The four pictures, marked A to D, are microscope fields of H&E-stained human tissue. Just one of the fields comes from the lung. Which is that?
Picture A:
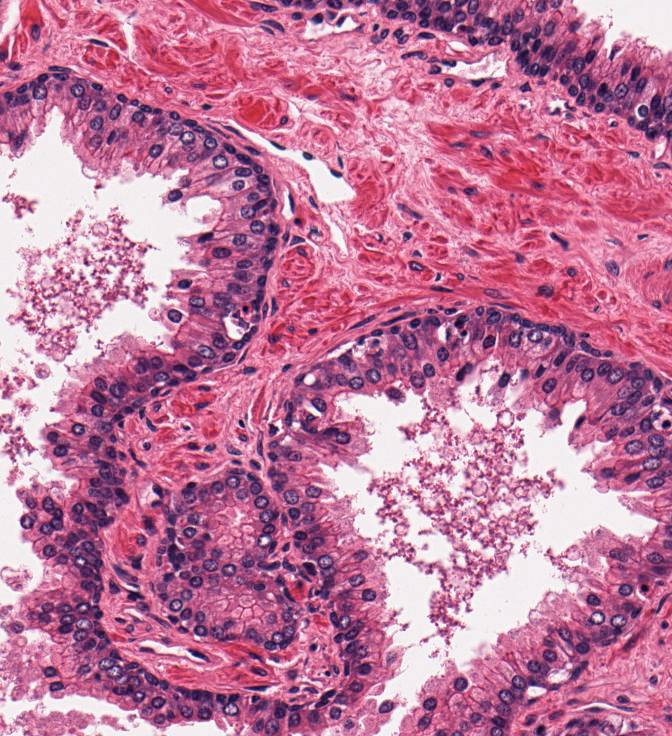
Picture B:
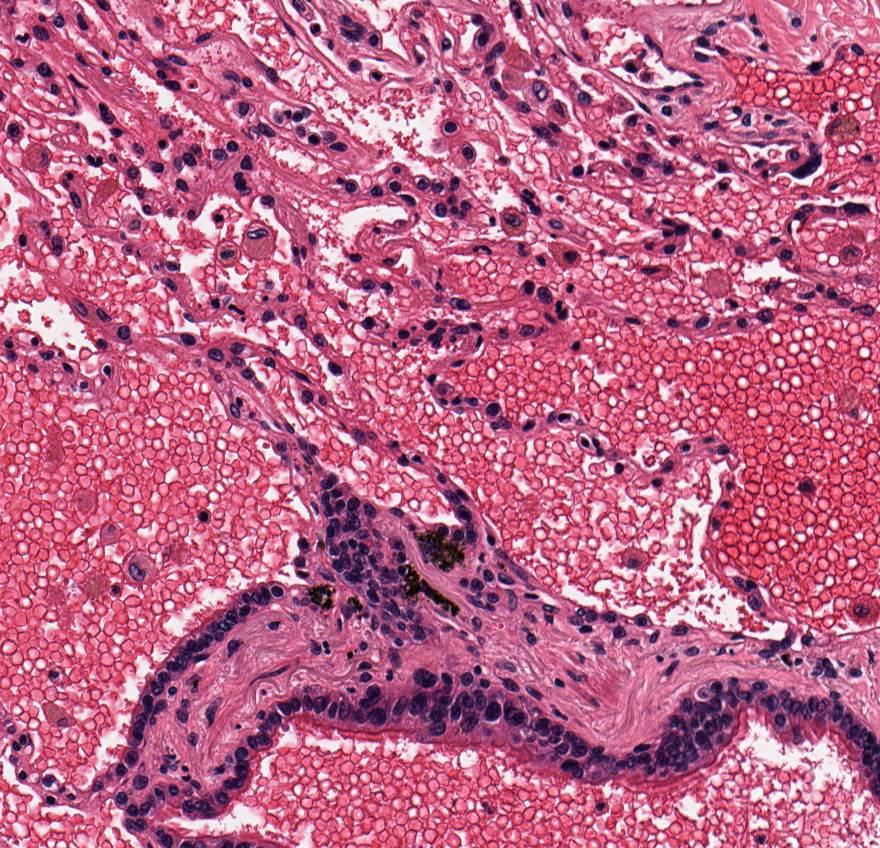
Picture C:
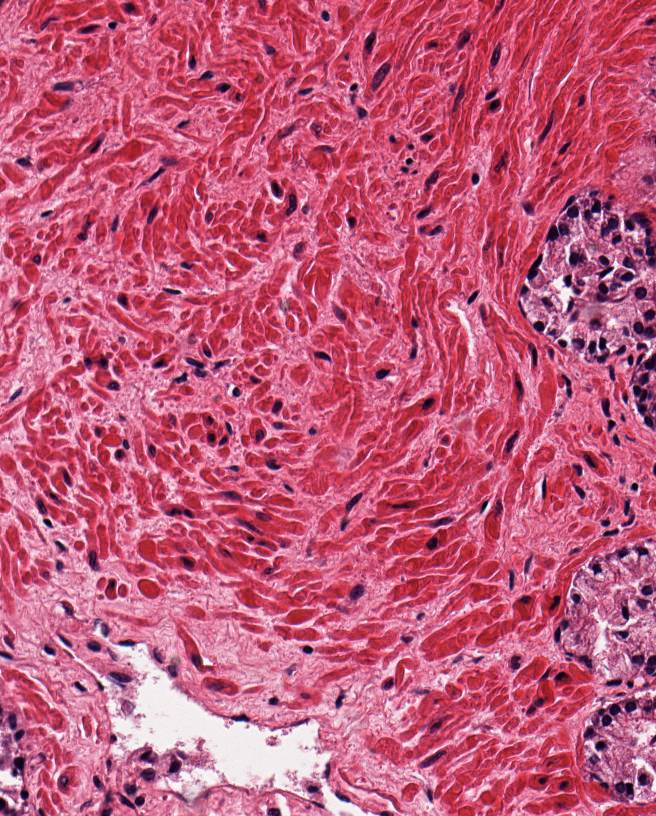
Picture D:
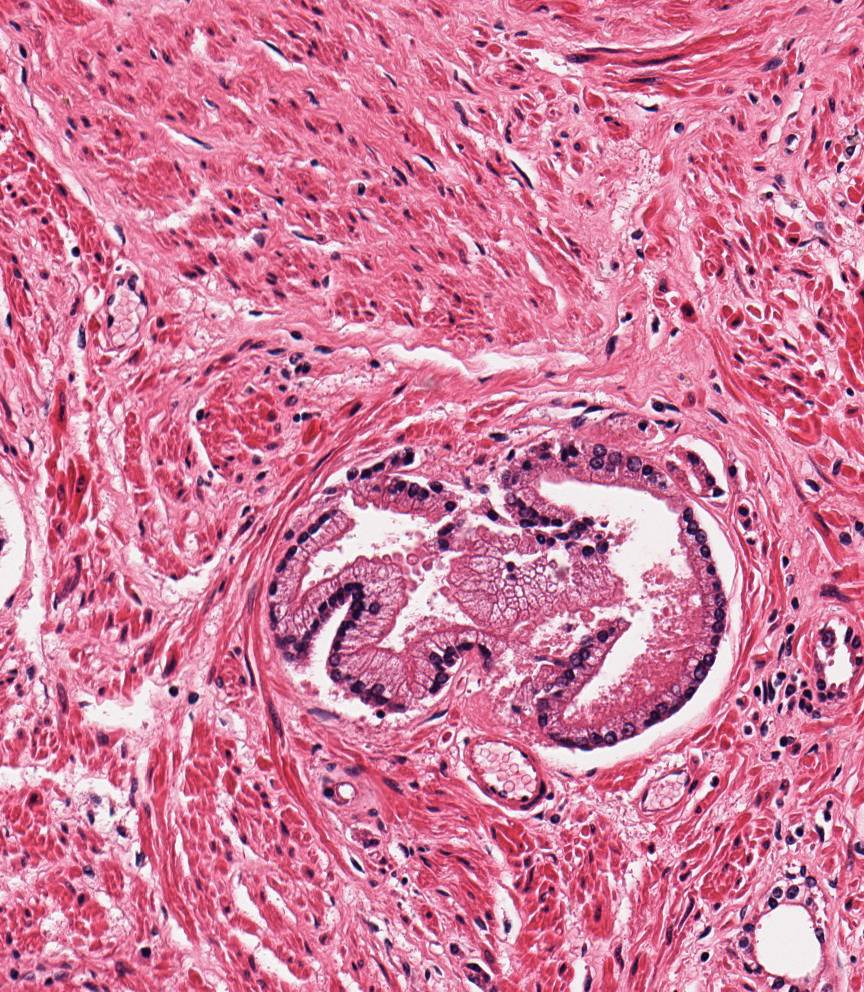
B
